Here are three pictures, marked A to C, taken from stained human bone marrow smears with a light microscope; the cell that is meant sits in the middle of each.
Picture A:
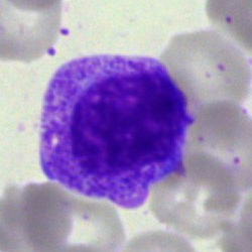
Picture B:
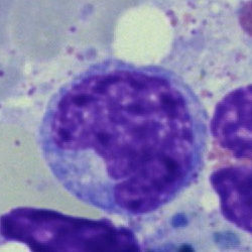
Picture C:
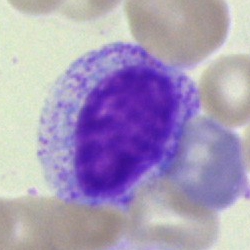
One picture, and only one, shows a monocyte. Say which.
B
